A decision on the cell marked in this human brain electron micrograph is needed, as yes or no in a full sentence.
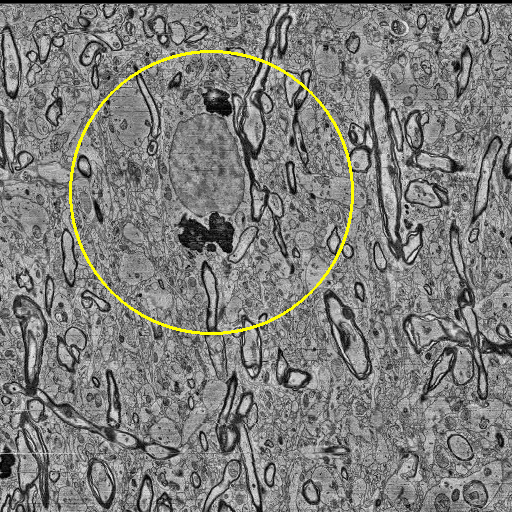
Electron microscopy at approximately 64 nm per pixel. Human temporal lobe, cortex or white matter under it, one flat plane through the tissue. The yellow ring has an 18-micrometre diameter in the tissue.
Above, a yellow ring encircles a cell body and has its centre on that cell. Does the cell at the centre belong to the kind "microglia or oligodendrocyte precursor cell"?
No, a different kind fits the cell at the centre of the ring in the picture.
